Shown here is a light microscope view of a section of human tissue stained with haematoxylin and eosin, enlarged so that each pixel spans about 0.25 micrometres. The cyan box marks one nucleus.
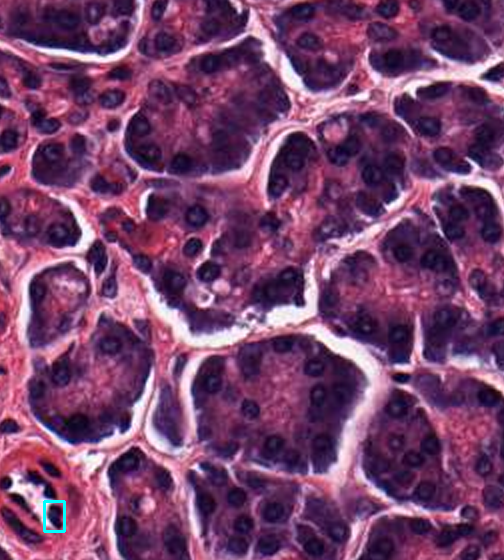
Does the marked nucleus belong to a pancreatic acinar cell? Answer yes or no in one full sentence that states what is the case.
No, a pancreatic acinar cell does not own the marked nucleus, which belongs to a supporting cell.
